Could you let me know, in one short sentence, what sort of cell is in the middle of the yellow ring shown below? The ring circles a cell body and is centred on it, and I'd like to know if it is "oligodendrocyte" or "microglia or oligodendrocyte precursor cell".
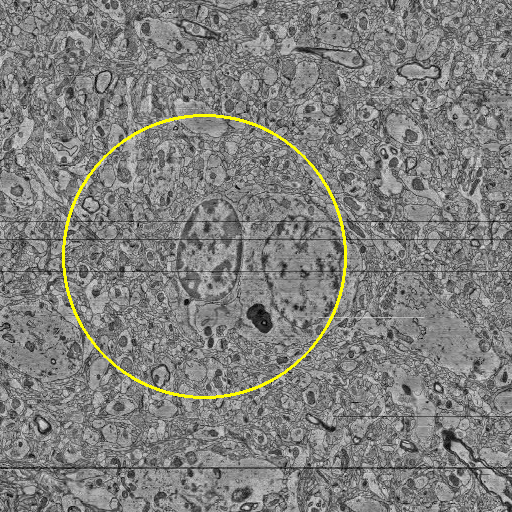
The ring circles the cell body of a microglial cell or oligodendrocyte precursor cell.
